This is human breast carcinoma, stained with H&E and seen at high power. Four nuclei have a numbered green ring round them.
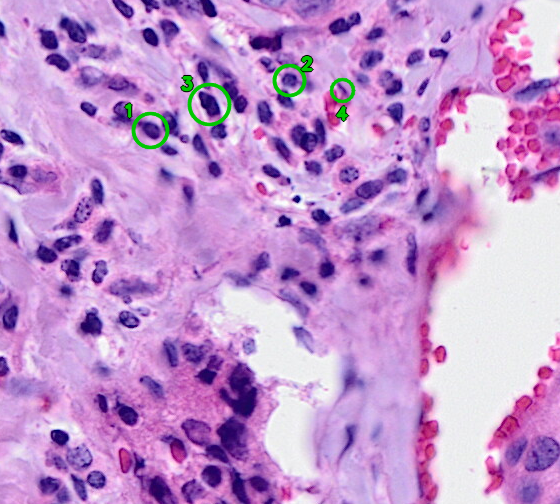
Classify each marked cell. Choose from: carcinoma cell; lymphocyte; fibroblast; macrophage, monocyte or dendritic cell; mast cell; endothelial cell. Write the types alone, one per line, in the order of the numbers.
lymphocyte
lymphocyte
lymphocyte
endothelial cell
